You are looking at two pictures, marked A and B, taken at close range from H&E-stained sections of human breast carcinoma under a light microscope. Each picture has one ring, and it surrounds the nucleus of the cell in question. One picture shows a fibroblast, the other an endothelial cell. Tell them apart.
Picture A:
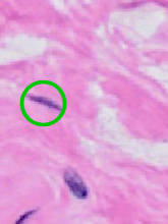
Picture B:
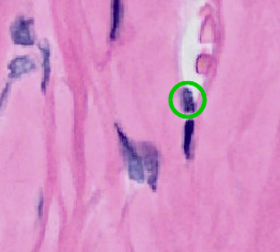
A: fibroblast
B: endothelial cell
